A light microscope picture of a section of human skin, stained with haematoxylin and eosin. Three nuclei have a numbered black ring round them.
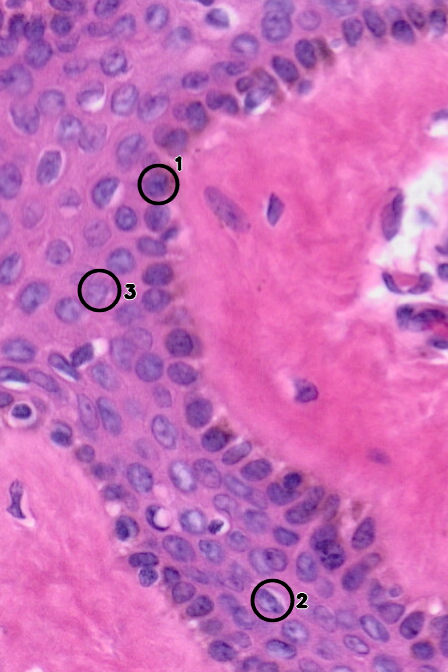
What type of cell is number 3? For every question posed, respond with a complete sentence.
The identity of cell 3 is that of a suprabasal keratinocyte.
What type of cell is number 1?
In this section, number 1 marks a basal keratinocyte.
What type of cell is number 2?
Cell number 2 in this section is a suprabasal keratinocyte.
